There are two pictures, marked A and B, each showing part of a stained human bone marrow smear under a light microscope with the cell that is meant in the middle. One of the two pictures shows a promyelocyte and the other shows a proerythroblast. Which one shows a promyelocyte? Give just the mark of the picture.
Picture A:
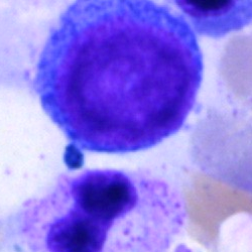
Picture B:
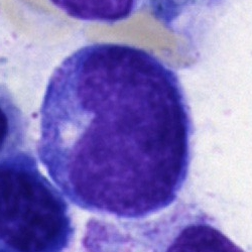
B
